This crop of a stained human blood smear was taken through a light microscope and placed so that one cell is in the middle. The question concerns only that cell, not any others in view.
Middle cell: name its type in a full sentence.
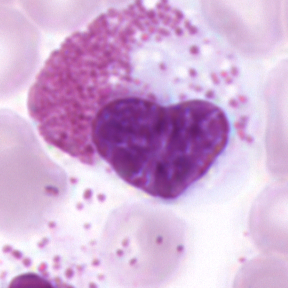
In this crop, the cell at the very middle is an eosinophil.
